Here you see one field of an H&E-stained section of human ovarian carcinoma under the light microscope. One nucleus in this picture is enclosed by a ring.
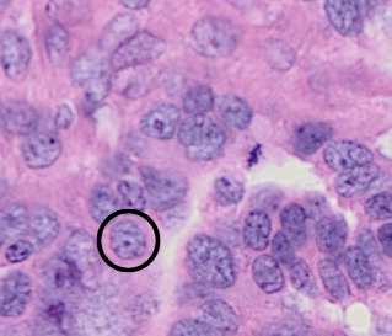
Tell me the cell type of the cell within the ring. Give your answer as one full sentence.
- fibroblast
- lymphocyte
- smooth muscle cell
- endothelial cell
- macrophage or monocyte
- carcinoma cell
The cell within the ring appears to be a carcinoma cell.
